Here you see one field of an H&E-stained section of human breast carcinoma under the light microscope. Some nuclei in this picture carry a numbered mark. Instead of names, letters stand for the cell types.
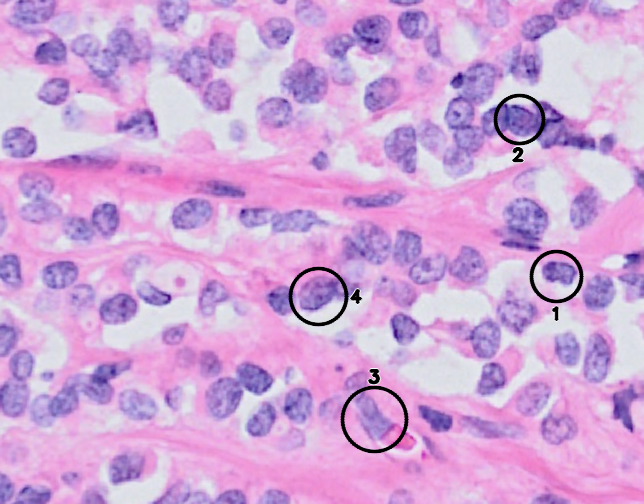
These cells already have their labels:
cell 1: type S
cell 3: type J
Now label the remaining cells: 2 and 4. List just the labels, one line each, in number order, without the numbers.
type S
type S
